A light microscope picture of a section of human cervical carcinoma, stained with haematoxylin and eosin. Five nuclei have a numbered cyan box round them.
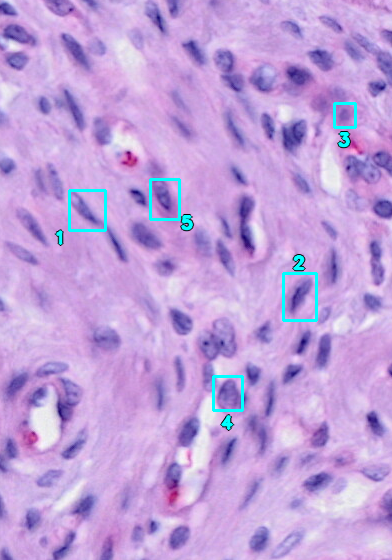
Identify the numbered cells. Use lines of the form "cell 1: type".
cell 1: fibroblast
cell 2: fibroblast
cell 3: endothelial cell
cell 4: endothelial cell
cell 5: endothelial cell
